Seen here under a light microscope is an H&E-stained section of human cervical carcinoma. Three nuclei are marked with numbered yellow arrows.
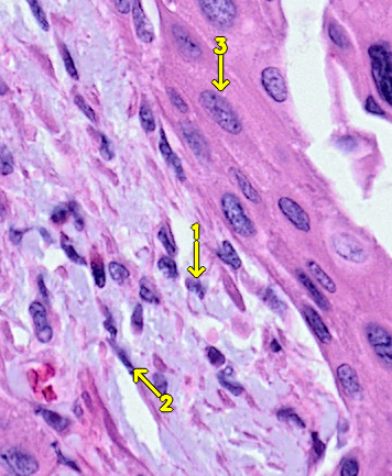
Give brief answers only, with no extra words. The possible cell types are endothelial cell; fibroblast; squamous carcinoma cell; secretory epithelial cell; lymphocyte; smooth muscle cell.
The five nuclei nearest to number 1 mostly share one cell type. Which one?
fibroblast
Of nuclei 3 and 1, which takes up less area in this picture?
1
